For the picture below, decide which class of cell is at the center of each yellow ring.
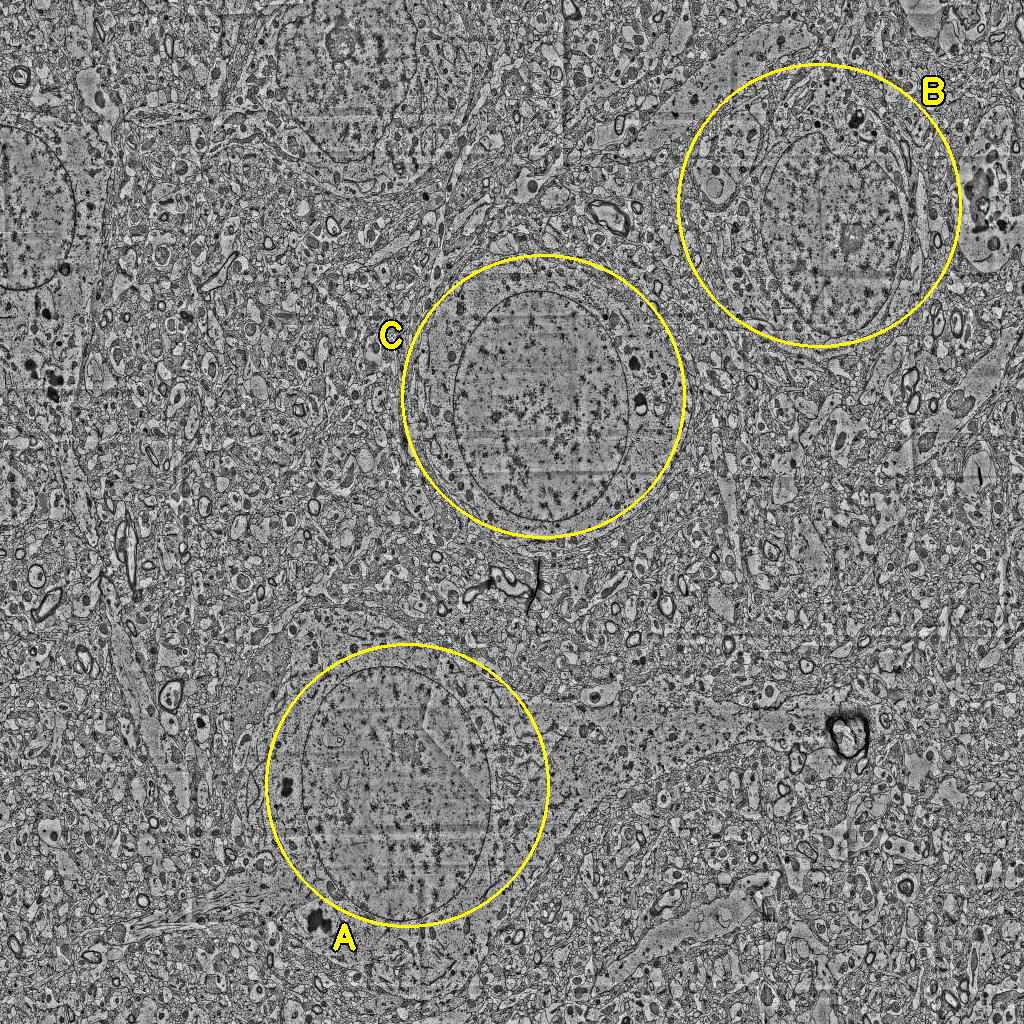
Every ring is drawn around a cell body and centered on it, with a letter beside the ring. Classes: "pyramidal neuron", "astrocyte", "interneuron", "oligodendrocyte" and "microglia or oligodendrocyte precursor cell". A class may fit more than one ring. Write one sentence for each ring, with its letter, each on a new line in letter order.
Centered in ring A is a pyramidal neuron.
Centered in ring B is an interneuron.
Centered in ring C is a pyramidal neuron.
